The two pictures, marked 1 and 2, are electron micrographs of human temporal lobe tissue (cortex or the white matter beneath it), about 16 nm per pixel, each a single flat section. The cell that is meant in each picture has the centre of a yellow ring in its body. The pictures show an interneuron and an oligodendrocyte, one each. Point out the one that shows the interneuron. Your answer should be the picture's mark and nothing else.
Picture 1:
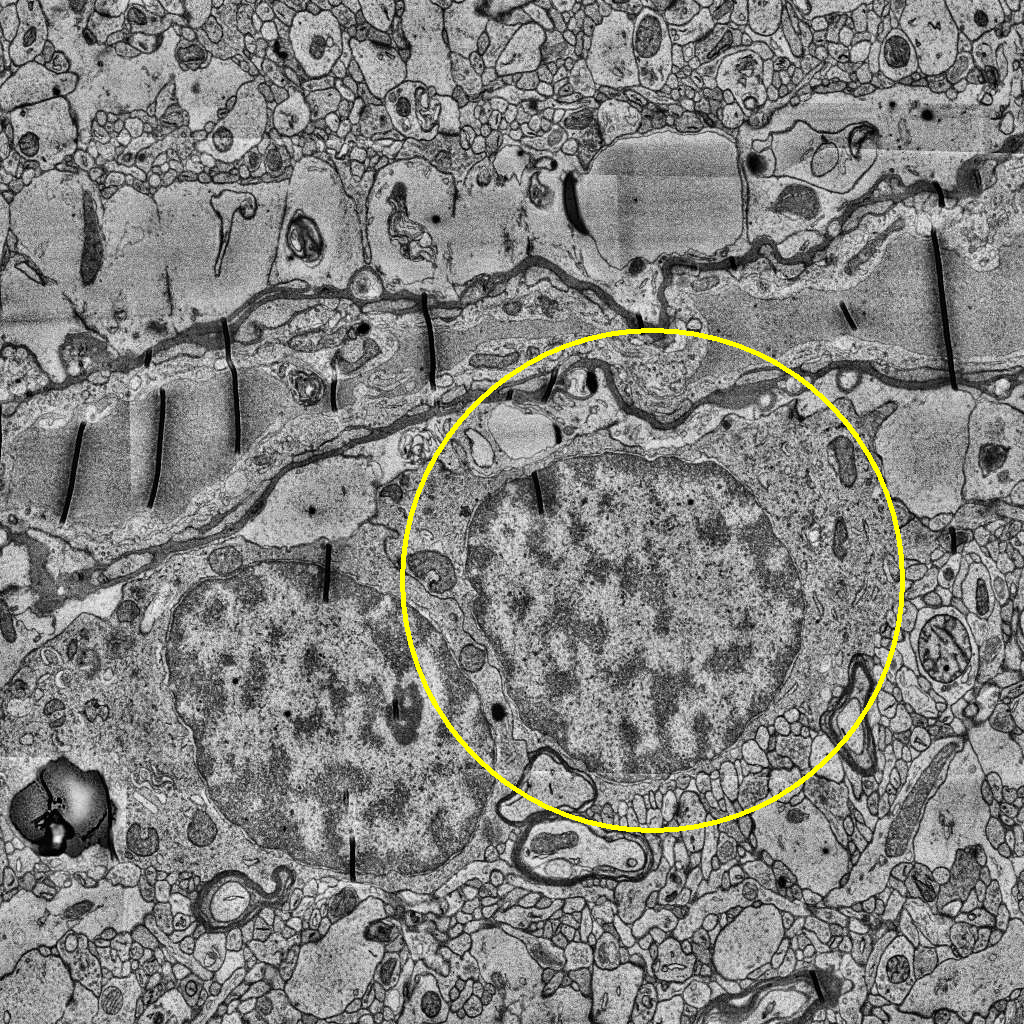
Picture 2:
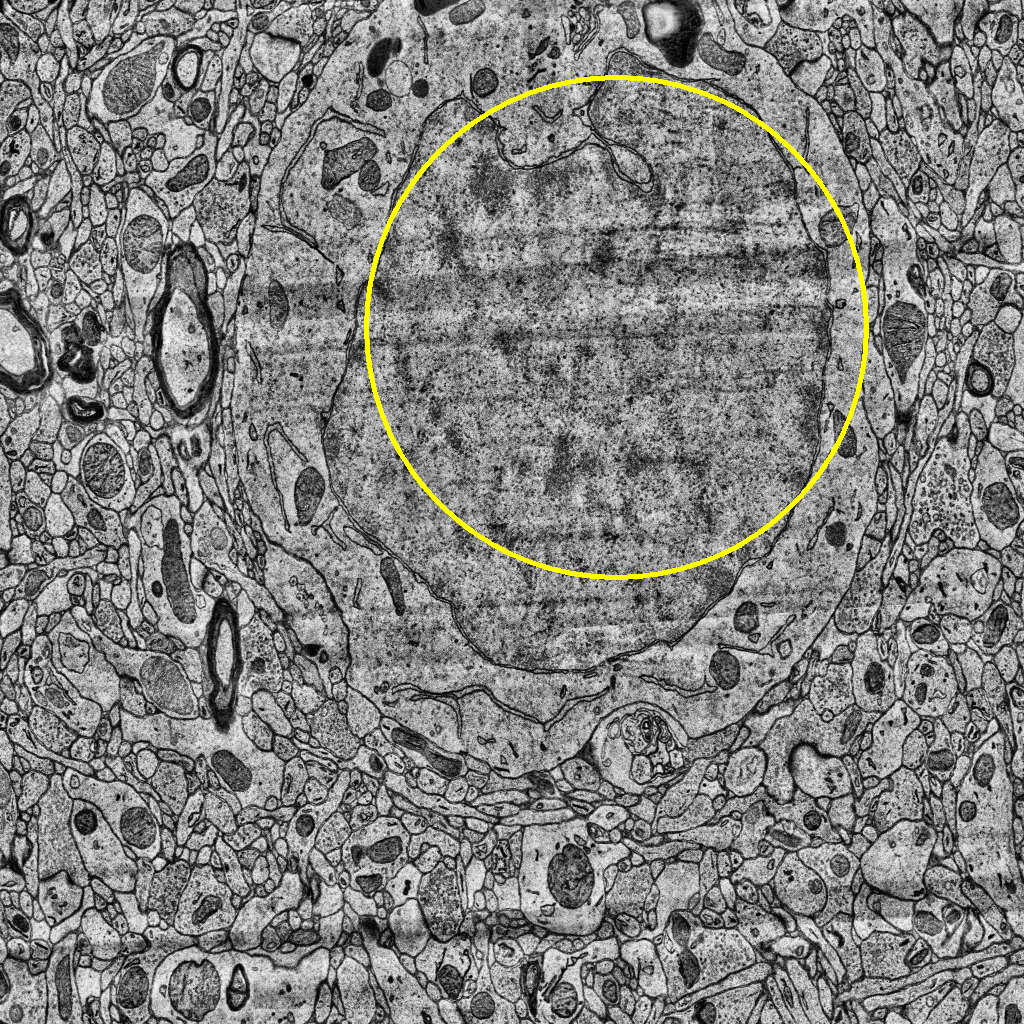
2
